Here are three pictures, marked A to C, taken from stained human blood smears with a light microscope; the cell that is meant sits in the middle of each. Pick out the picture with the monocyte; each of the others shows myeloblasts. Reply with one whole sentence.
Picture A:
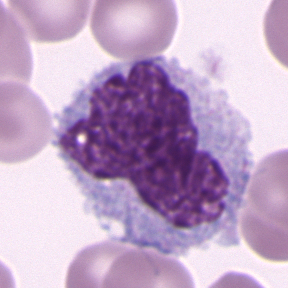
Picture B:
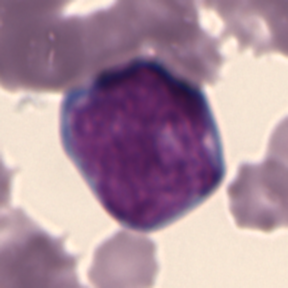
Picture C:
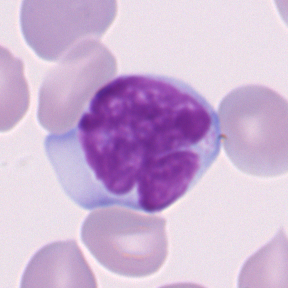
Picture A shows the monocyte.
